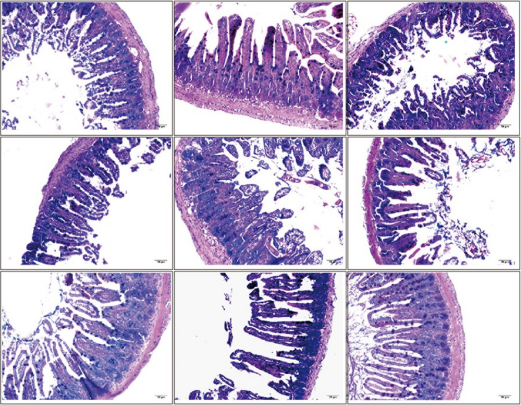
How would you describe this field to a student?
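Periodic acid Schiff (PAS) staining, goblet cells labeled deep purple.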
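Grid of nine sections of small intestinal wall showing finger-like villi above a pink-purple muscular layer. The lamina propria and epithelium otherwise stain in lighter purple and pink tones. Some sections are cut obliquely, so the villi appear as tall parallel fingers in some and as shorter, irregular profiles in others.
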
